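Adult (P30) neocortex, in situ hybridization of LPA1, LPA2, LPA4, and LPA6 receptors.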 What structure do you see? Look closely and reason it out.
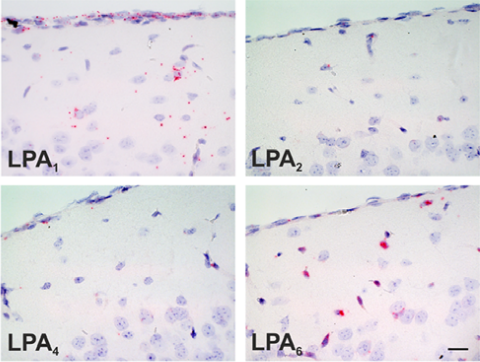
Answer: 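Leptomeninges. A thin layer of flattened, elongated nuclei lines the top surface of the tissue. Below this surface layer lies cortical tissue with scattered larger round nuclei.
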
